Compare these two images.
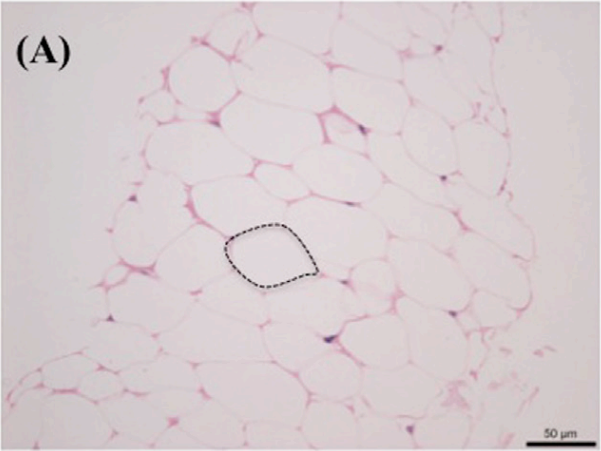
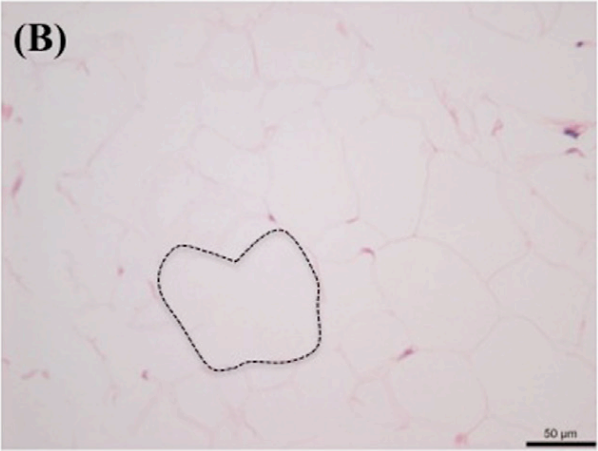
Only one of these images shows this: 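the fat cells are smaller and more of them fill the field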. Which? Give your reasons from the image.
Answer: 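First image: many smaller empty cells are packed in the field, the outlined one is much smaller.
The first image.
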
